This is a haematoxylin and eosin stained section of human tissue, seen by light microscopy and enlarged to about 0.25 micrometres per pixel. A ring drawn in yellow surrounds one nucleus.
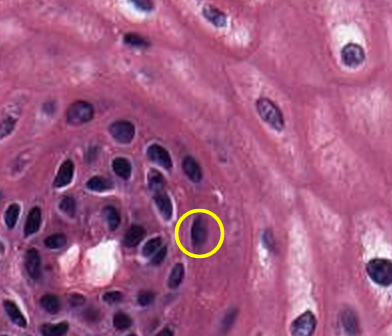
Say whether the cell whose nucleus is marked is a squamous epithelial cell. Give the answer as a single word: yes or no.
yes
